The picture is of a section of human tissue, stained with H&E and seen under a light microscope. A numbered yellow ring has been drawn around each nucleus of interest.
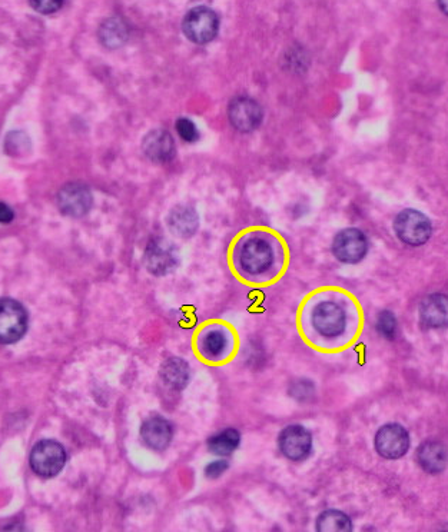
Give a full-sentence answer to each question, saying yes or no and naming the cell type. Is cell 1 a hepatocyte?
Yes, the one with the number 1 is a hepatocyte.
